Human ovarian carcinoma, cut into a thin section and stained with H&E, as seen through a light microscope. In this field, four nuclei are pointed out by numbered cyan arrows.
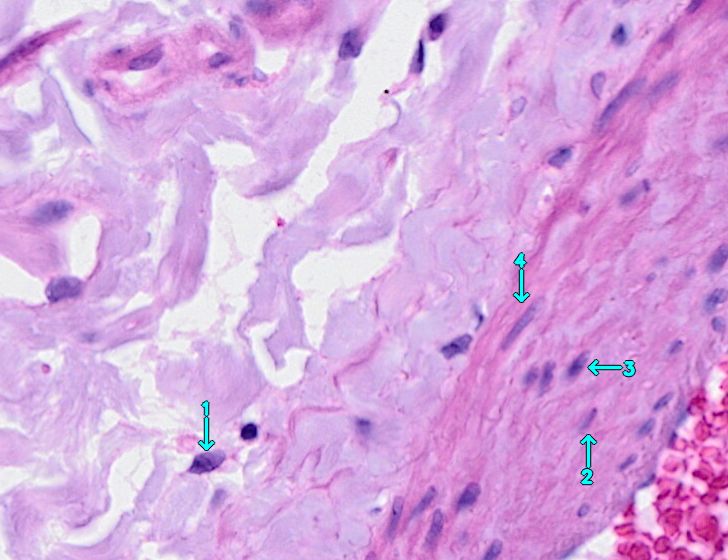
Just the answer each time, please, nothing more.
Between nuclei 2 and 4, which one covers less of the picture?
2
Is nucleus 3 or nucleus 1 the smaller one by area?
3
